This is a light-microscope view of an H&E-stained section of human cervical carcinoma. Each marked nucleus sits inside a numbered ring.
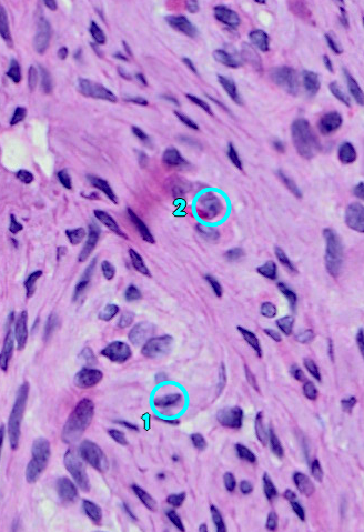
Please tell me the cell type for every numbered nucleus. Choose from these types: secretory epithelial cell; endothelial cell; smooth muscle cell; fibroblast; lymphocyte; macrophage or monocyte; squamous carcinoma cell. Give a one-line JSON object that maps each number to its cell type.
{"1": "fibroblast", "2": "endothelial cell"}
